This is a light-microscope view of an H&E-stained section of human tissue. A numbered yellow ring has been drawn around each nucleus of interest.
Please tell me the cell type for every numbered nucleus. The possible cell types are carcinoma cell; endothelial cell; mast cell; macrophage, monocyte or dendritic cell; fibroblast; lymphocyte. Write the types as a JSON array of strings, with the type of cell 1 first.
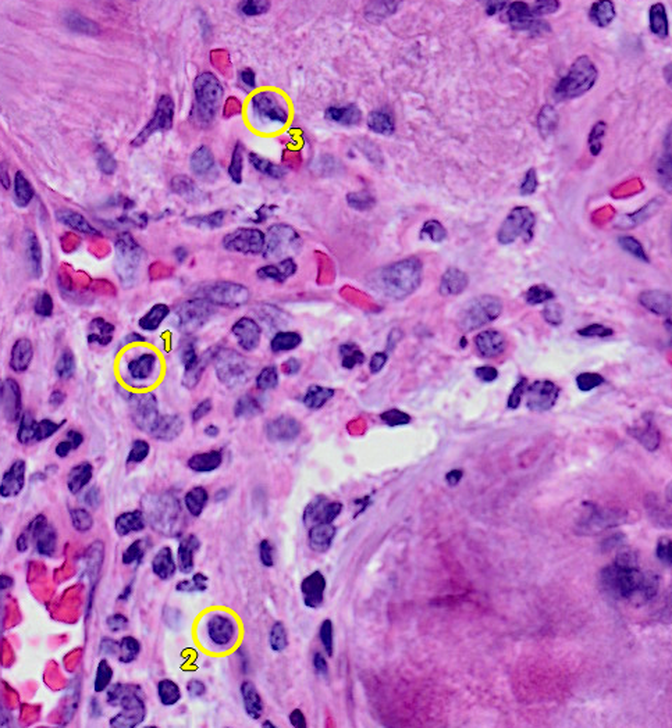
["lymphocyte", "lymphocyte", "endothelial cell"]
